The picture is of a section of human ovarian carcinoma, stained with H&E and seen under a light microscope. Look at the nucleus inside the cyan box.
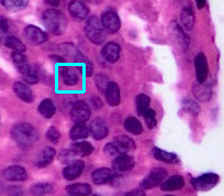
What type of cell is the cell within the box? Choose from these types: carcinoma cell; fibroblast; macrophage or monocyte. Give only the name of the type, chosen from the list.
carcinoma cell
